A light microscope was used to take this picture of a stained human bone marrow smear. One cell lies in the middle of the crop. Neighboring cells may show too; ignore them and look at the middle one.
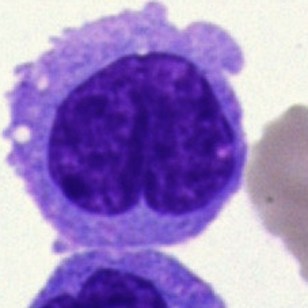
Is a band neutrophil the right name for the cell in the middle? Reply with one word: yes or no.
no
